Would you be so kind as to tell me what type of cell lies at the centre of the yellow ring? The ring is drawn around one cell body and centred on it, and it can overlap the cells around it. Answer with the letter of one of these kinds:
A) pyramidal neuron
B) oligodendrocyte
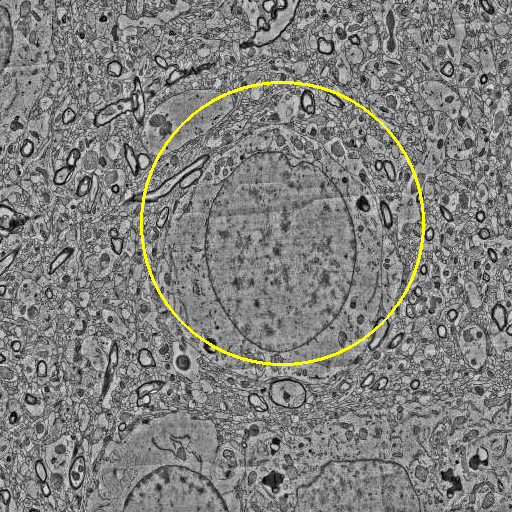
A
